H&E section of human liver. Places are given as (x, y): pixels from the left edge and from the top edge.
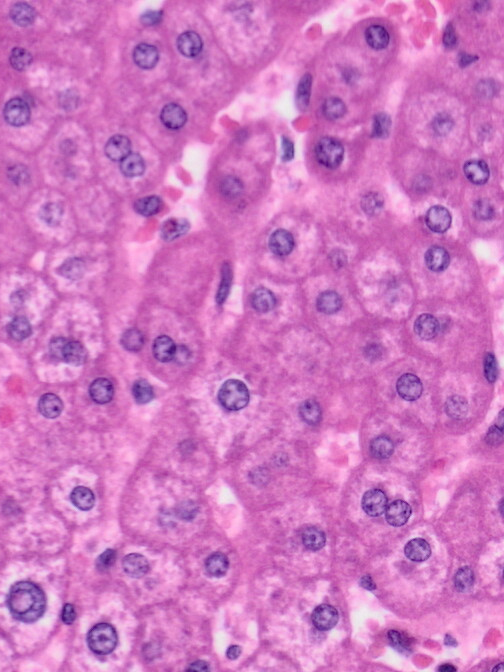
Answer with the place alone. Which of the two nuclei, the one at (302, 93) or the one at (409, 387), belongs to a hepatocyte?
(409, 387)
